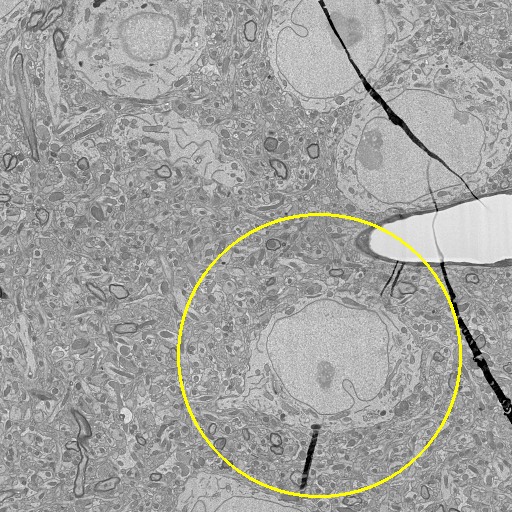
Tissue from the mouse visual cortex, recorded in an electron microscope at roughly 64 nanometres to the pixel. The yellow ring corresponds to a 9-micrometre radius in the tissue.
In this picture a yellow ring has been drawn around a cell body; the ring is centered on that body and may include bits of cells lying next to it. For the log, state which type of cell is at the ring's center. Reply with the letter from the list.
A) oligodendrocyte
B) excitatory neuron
B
